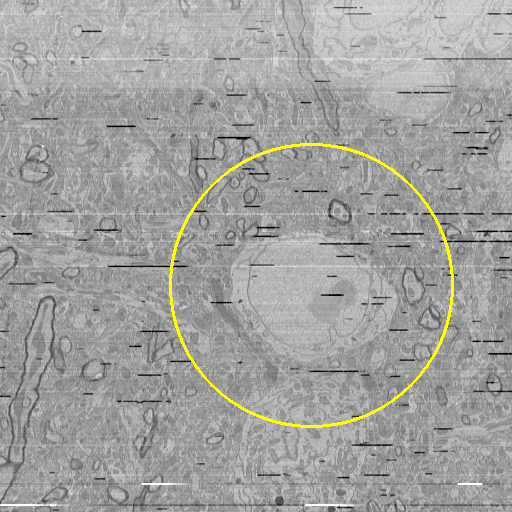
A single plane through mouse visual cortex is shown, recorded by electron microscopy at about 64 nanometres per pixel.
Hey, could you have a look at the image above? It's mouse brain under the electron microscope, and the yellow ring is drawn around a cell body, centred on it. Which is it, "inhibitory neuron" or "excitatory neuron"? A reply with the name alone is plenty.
excitatory neuron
